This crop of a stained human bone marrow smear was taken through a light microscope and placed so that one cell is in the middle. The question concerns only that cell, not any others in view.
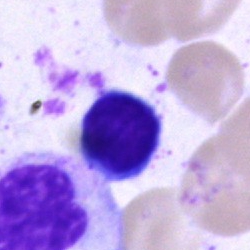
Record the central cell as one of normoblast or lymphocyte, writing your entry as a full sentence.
Whatever else lies nearby, the middle cell is a lymphocyte.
